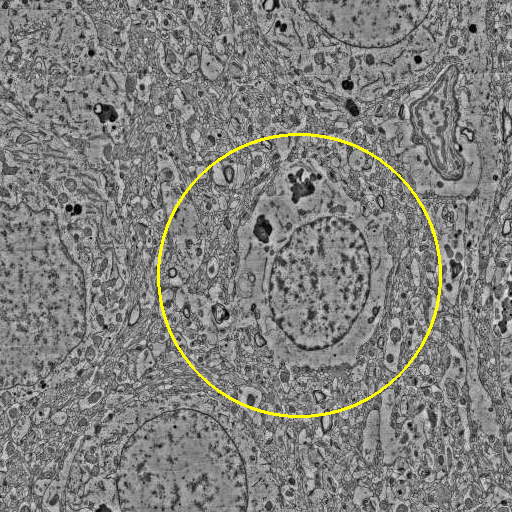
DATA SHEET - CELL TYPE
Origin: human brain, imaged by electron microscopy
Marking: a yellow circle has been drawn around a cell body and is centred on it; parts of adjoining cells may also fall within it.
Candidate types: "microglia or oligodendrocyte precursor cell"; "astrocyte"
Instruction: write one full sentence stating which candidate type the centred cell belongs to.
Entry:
The cell body at the centre of the yellow ring in this micrograph belongs to an astrocyte.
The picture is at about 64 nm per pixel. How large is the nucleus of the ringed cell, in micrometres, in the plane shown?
The nucleus measures about 9 by 6 micrometres in this plane.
